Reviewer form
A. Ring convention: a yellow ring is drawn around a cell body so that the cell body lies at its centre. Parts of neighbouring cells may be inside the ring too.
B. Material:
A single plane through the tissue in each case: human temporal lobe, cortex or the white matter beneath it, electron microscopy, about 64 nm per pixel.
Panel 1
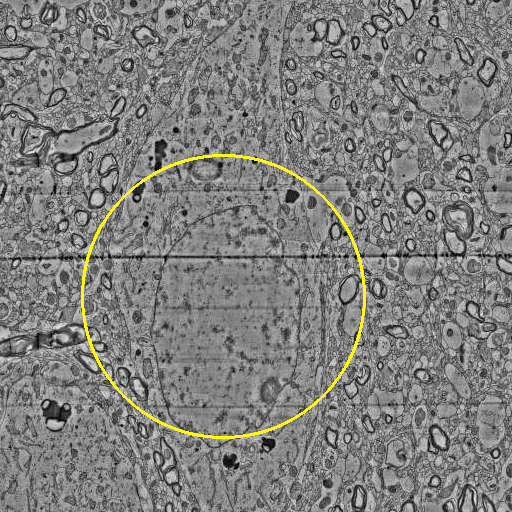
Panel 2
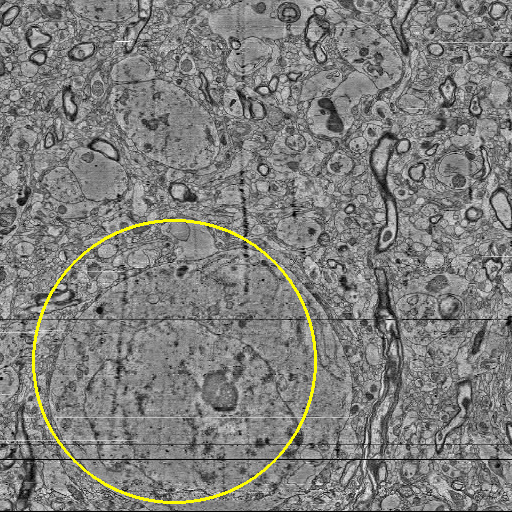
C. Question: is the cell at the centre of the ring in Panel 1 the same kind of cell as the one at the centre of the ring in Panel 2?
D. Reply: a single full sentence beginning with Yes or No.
Yes, the cells in Panel 1 and Panel 2 are the same kind of cell.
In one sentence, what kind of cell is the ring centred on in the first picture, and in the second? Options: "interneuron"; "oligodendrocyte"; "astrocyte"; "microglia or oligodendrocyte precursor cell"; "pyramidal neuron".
Each of the two cells is a pyramidal neuron.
